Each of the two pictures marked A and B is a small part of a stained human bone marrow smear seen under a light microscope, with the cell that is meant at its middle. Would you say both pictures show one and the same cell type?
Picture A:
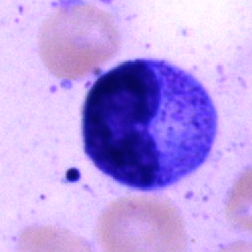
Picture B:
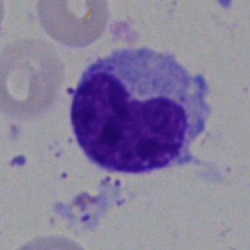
yes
